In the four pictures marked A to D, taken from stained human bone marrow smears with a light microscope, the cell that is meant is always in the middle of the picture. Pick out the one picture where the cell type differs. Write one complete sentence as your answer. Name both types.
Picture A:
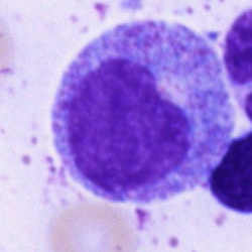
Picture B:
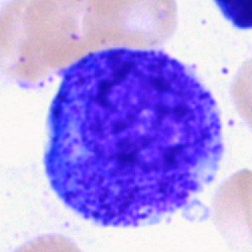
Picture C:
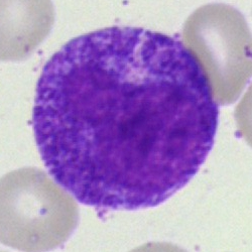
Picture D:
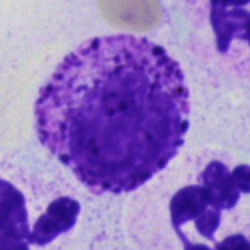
Unlike the rest, which show promyelocytes, picture D shows a basophil.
